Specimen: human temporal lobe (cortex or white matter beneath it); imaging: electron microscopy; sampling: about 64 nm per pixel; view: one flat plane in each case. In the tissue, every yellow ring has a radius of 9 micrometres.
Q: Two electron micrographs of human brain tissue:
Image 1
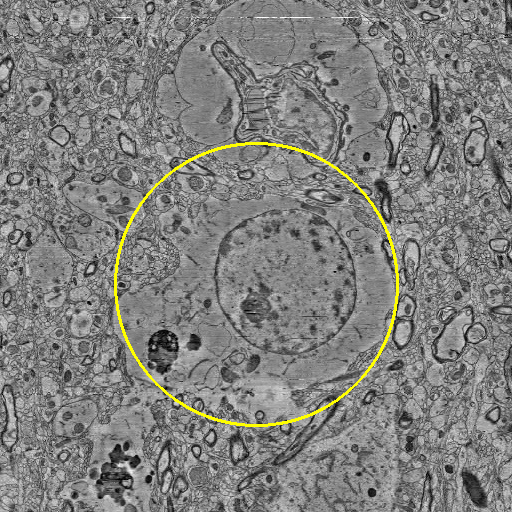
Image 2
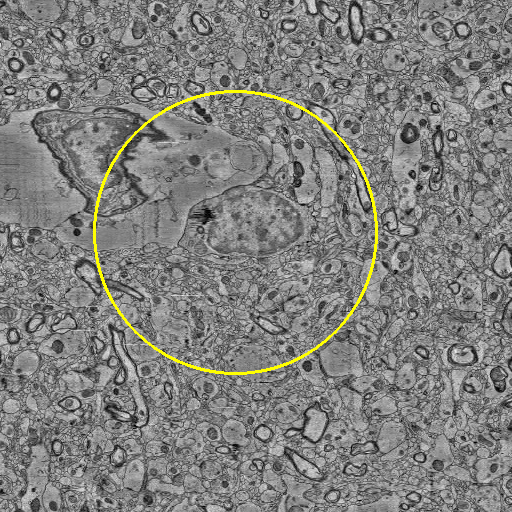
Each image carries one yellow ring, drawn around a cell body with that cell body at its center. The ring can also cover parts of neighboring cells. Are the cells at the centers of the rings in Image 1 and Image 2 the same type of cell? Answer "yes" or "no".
no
